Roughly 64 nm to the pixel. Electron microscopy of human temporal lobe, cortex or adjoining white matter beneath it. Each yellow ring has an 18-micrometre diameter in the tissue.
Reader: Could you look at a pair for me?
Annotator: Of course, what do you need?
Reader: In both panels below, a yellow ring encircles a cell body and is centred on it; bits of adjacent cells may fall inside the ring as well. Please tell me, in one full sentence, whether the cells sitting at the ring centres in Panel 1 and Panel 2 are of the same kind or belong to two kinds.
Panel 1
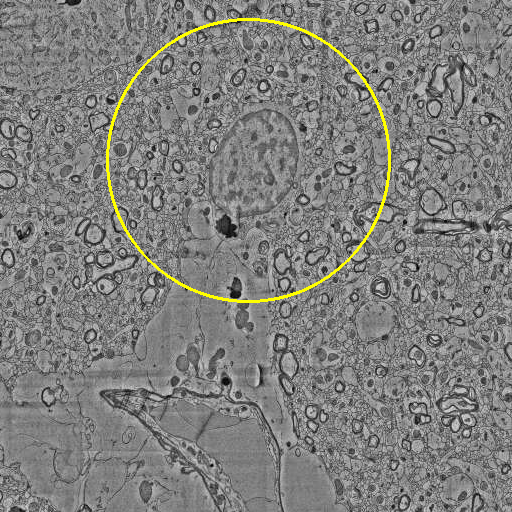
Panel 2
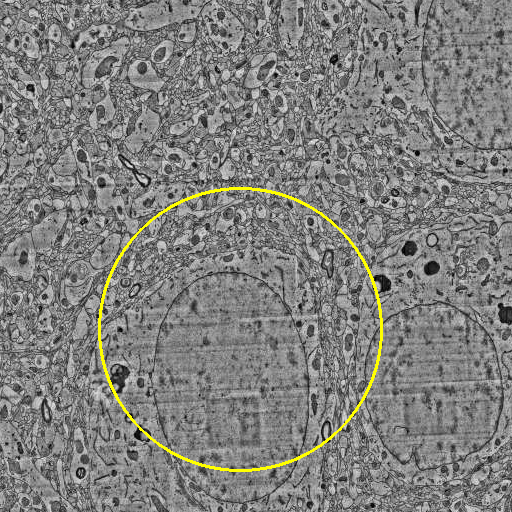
The cell at the ring's centre in Panel 1 and the one in Panel 2 belong to two kinds.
